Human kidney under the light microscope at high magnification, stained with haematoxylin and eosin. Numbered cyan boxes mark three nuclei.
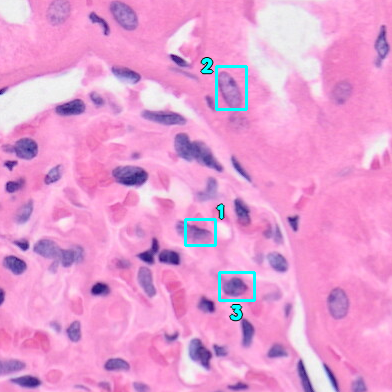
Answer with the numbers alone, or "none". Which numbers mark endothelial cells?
1, 3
